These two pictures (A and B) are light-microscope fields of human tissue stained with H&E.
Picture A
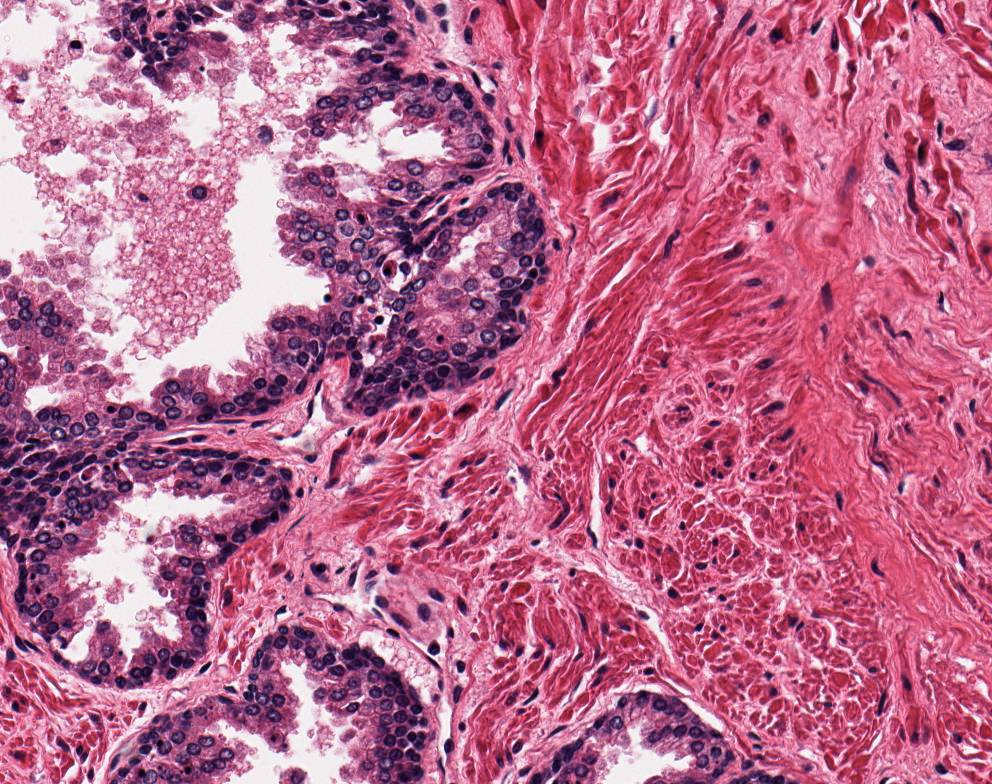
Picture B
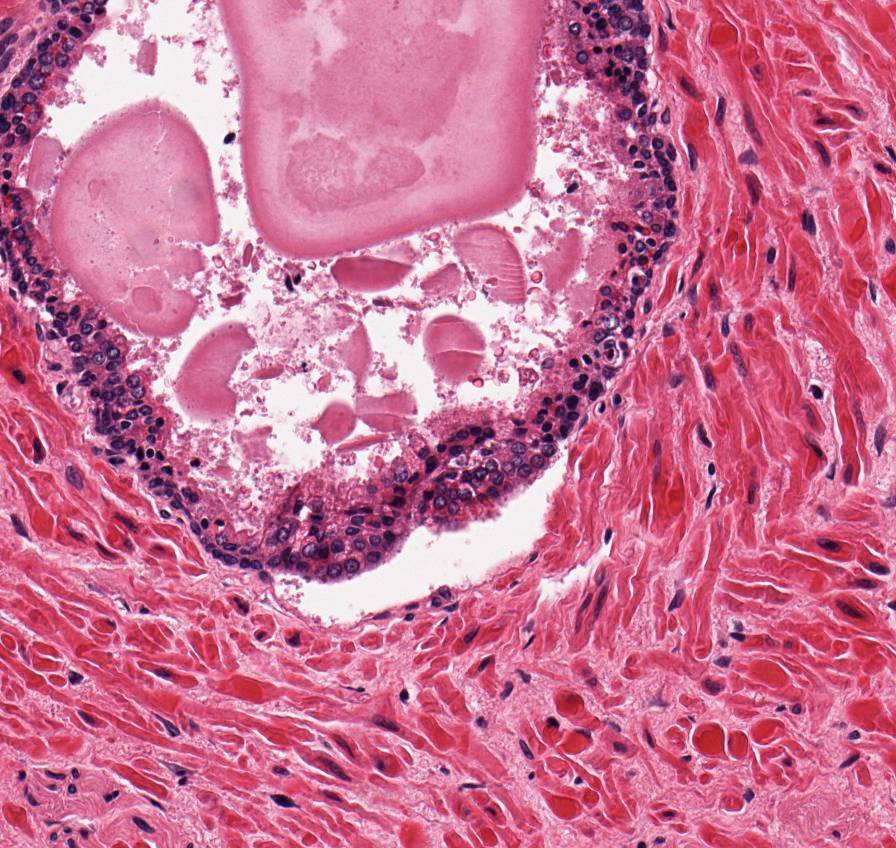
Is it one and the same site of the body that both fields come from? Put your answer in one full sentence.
Yes; both pictures come from the prostate.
